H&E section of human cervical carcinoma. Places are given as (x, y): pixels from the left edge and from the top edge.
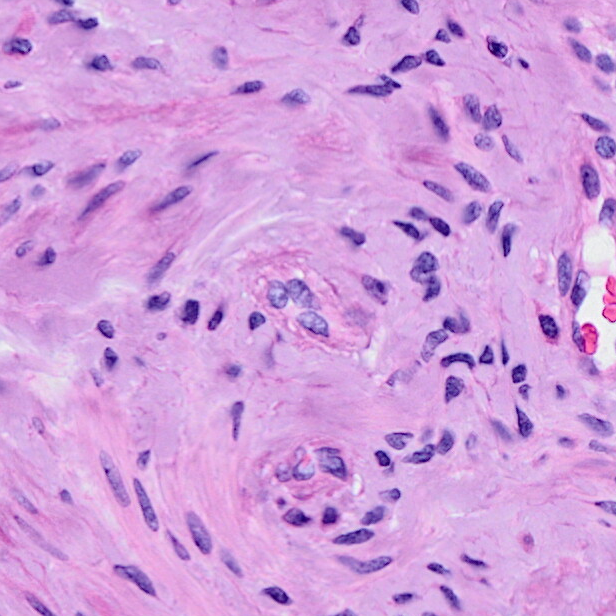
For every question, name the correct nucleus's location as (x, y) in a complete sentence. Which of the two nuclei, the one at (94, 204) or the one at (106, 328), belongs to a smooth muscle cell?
The pair contains one nucleus of a smooth muscle cell, namely the one at (94, 204).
